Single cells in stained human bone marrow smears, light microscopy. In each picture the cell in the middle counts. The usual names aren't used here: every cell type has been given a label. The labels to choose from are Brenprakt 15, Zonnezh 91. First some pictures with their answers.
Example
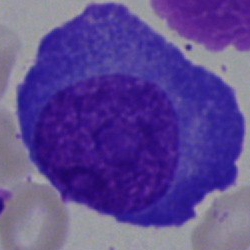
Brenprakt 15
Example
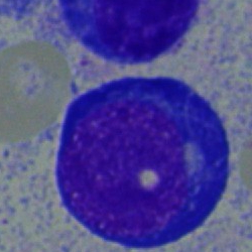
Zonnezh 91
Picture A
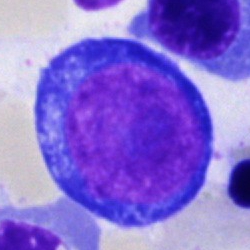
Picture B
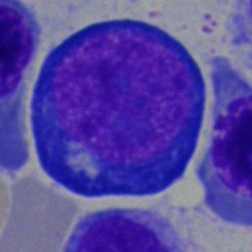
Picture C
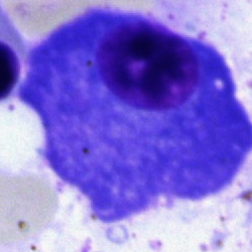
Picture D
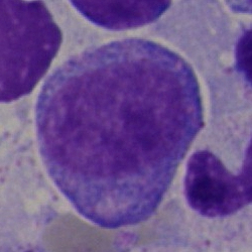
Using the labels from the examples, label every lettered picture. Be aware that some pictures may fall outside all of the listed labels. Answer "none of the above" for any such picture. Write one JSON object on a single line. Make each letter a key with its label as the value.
{"A": "Zonnezh 91", "B": "Zonnezh 91", "C": "Brenprakt 15", "D": "none of the above"}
